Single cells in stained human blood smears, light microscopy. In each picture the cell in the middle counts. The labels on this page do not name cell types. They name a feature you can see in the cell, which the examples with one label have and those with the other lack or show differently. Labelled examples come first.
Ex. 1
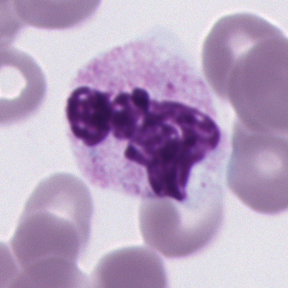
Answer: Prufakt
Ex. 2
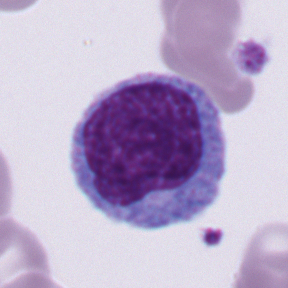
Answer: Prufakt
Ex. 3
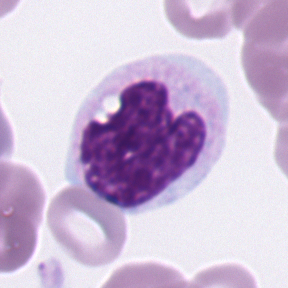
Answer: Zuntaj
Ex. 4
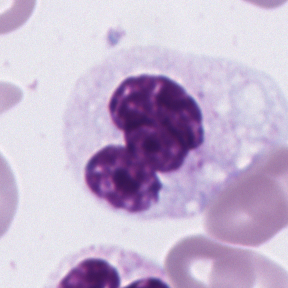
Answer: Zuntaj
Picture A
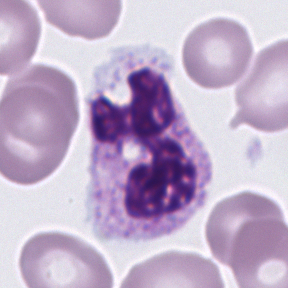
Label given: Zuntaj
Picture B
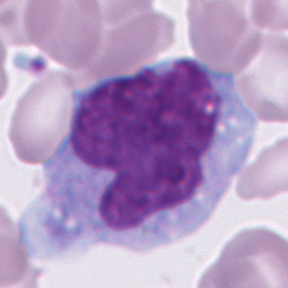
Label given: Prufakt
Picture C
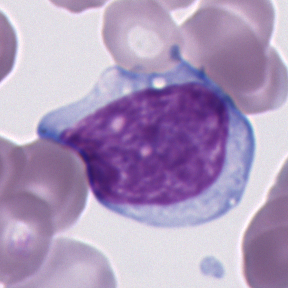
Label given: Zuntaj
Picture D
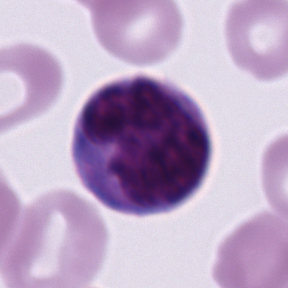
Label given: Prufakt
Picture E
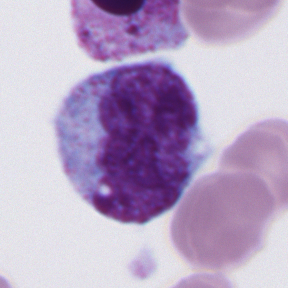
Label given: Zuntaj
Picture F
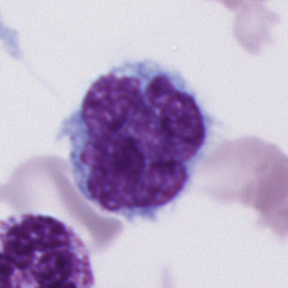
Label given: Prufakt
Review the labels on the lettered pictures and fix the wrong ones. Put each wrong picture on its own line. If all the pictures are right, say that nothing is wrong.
B: not Prufakt but Zuntaj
